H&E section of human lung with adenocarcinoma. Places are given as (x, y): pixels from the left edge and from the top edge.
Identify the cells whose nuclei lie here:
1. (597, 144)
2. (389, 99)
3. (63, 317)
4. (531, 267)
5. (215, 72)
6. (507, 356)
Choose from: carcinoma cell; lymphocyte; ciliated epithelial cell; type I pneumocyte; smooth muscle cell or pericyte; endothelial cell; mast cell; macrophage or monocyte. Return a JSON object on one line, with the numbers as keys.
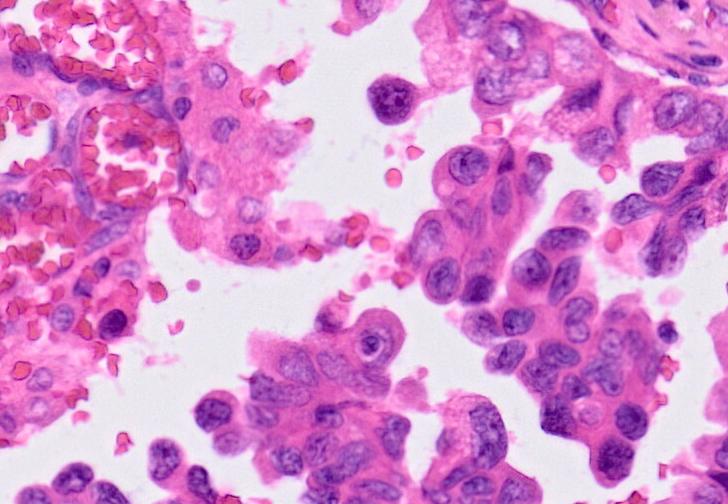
{"1": "carcinoma cell", "2": "carcinoma cell", "3": "macrophage or monocyte", "4": "carcinoma cell", "5": "macrophage or monocyte", "6": "carcinoma cell"}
